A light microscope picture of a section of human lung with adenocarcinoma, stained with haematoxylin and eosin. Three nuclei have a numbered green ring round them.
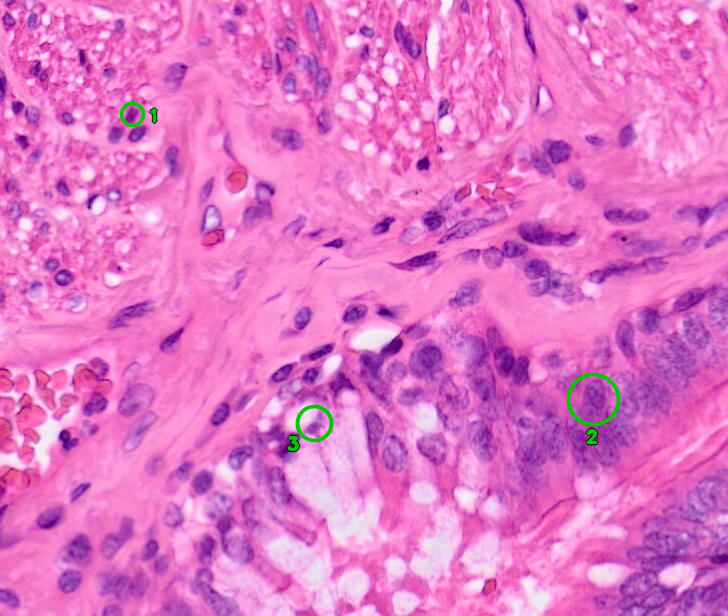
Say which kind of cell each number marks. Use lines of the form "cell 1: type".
cell 1: smooth muscle cell or pericyte
cell 2: ciliated epithelial cell
cell 3: ciliated epithelial cell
